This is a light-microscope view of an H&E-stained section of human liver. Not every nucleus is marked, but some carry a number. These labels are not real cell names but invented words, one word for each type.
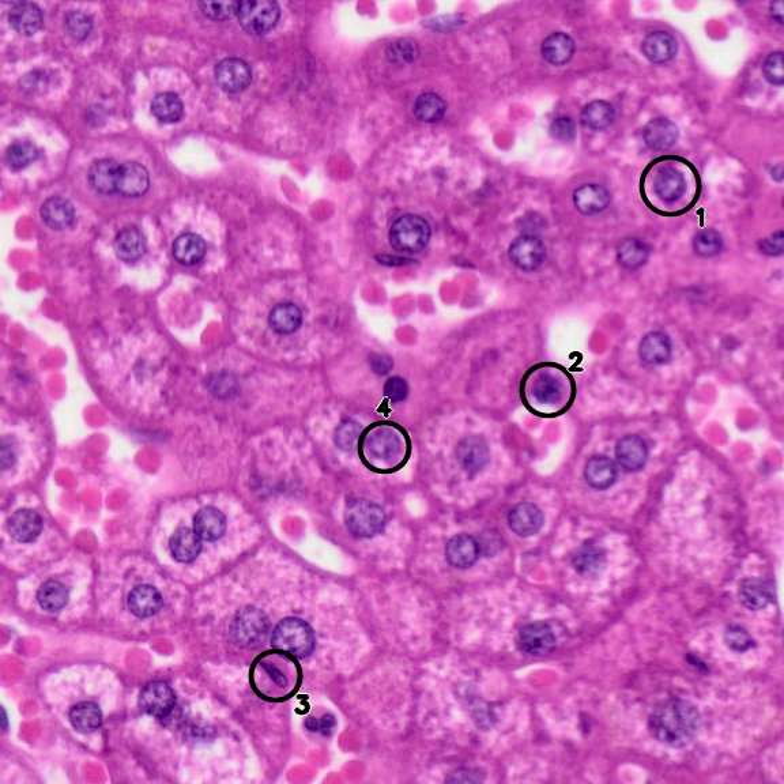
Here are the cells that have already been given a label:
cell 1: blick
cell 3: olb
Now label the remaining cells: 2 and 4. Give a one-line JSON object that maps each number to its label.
{"2": "olb", "4": "blick"}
